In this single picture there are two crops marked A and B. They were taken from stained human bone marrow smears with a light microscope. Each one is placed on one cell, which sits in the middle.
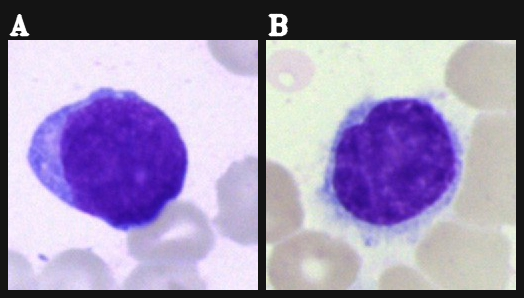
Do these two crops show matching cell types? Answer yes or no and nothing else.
no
